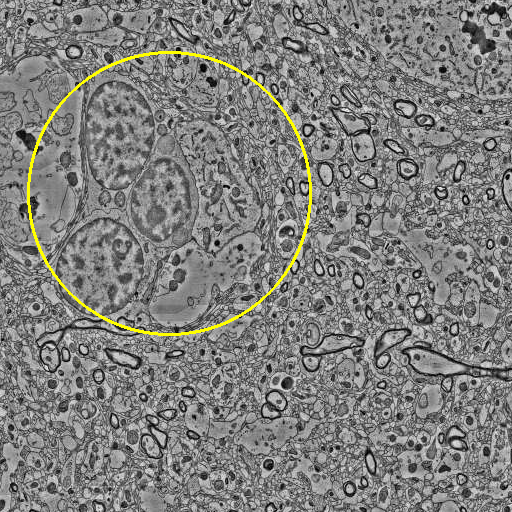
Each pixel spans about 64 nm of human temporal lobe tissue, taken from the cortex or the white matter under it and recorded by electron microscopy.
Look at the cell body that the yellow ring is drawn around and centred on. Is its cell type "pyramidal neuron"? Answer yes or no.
no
